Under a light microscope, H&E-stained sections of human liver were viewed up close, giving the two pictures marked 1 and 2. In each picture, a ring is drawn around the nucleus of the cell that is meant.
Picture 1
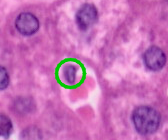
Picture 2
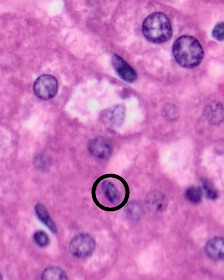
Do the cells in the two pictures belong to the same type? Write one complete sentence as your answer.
No, the types are not the same, since picture 1 shows a Kupffer cell and picture 2 a “fibroblast or stellate cell”.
